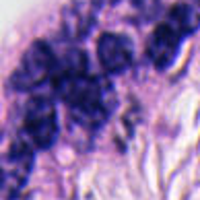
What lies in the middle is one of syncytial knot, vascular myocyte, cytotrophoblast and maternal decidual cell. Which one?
syncytial knot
